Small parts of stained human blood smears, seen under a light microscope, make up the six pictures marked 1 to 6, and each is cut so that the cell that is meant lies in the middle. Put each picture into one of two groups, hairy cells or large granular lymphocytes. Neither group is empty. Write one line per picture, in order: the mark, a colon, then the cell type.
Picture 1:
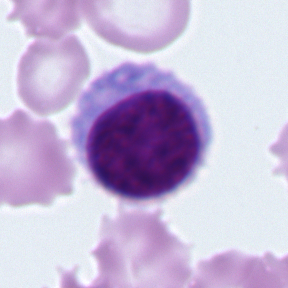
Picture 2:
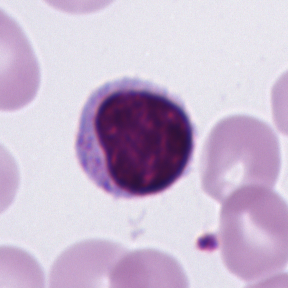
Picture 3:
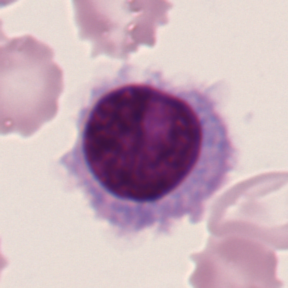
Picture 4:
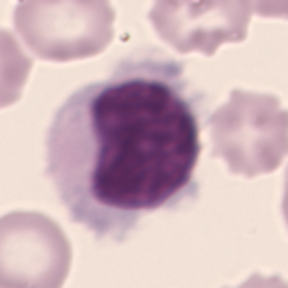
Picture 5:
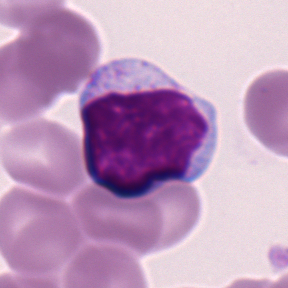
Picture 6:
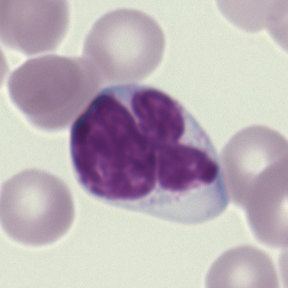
1: hairy cell
2: large granular lymphocyte
3: hairy cell
4: hairy cell
5: large granular lymphocyte
6: large granular lymphocyte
